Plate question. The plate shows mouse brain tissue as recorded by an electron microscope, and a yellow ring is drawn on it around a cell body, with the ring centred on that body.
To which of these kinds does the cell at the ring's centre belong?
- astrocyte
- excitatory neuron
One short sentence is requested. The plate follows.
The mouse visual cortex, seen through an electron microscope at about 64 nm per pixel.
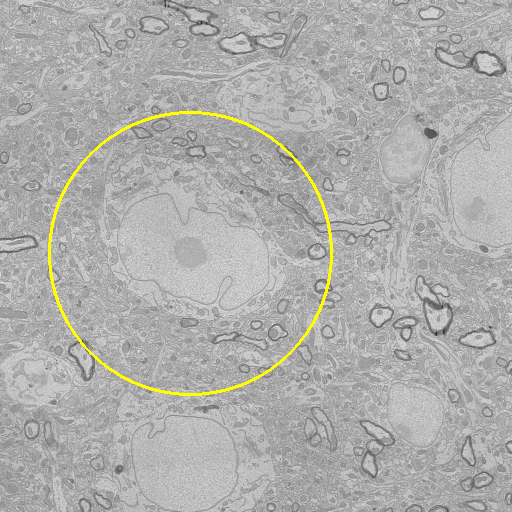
The cell at the ring's centre is an excitatory neuron.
